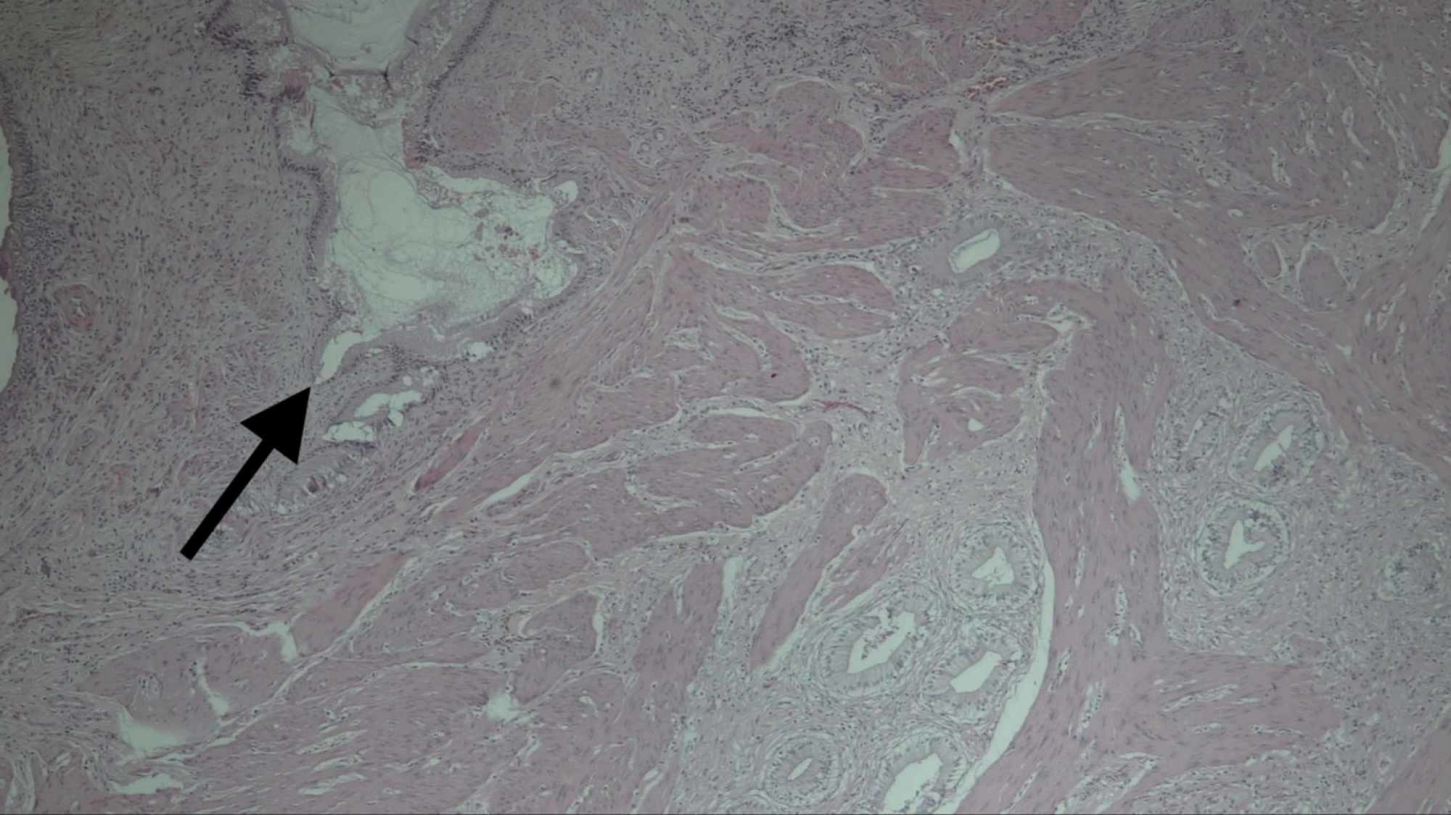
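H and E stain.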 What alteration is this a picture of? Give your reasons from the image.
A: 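Gallbladder adenomyomatosis. Many gland-like spaces lined by columnar epithelium lie among thick smooth muscle bundles. The muscle layer is broad, with interlacing pink bundles. Some glands are cystically dilated.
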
